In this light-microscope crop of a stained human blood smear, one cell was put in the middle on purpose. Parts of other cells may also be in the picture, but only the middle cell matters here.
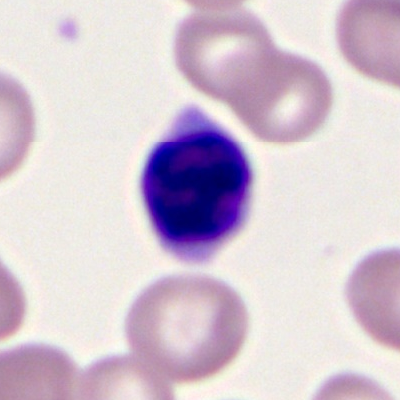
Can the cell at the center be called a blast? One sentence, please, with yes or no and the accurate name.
No, a lymphocyte rather than a blast is the cell at the centre of the crop.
